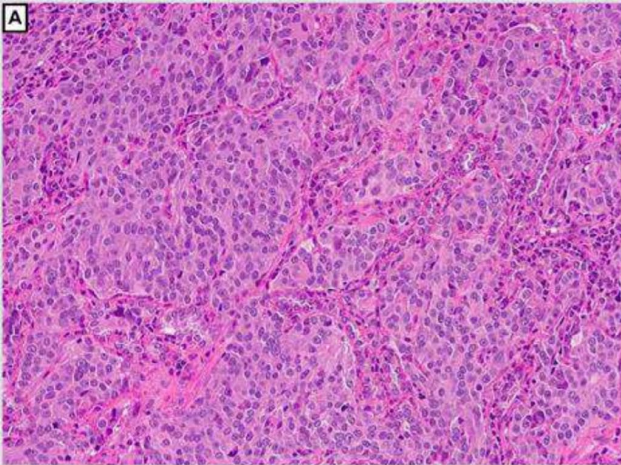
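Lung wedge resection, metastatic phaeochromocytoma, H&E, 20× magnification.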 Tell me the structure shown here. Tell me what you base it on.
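Nested, trabecular, and sheet‐like architecture. Tumour cells form rounded nests separated by thin pink fibrovascular septa. In places the cells lie in cords and broad sheets.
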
